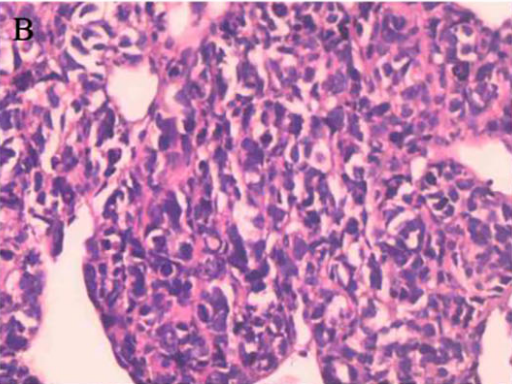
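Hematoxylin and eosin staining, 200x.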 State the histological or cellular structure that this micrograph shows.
Focal solid nests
